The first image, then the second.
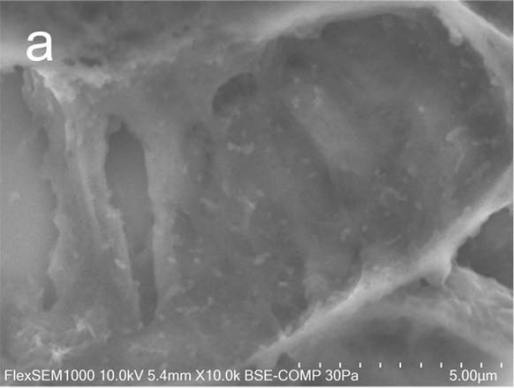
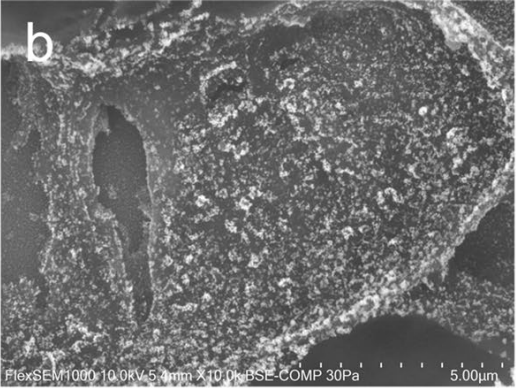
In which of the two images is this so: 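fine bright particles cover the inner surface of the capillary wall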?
The second image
